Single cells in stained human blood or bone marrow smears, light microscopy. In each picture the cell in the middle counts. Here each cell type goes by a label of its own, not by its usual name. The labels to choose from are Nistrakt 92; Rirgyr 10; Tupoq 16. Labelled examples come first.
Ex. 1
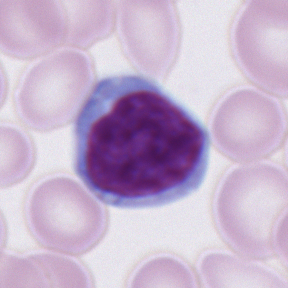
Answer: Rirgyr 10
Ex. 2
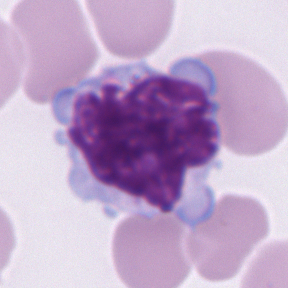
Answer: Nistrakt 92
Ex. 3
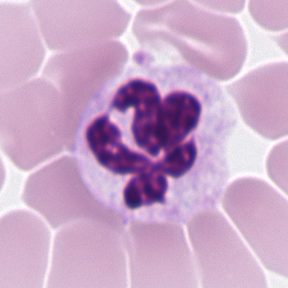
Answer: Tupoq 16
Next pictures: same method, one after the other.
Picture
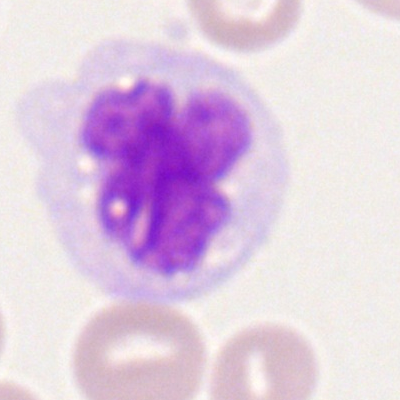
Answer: Nistrakt 92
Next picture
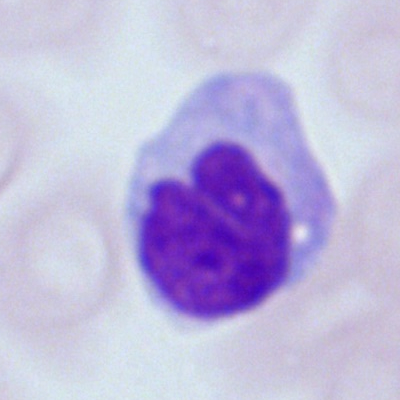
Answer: Nistrakt 92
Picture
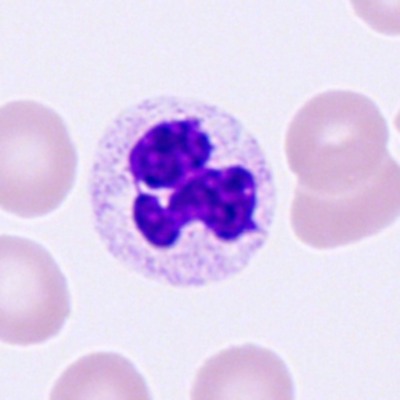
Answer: Tupoq 16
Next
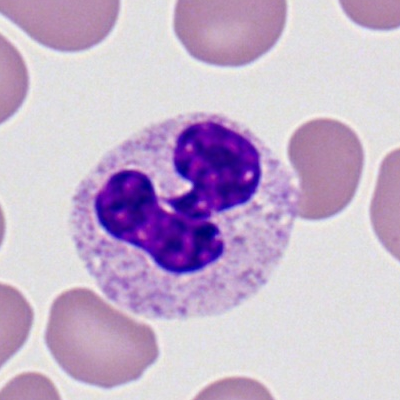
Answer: Tupoq 16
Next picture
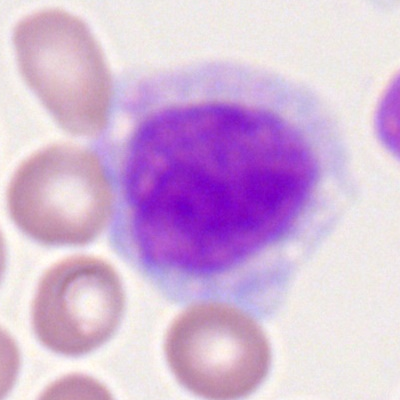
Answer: Nistrakt 92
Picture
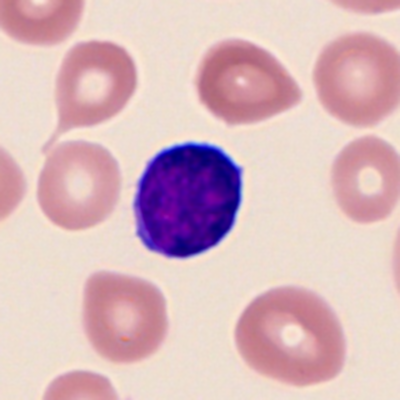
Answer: Rirgyr 10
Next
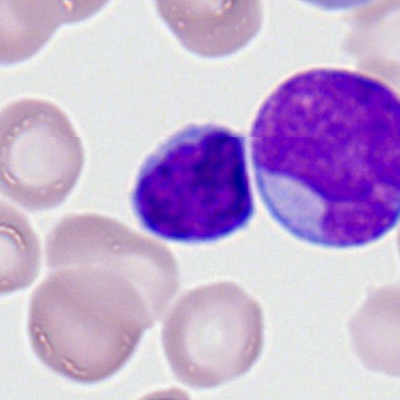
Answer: Rirgyr 10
